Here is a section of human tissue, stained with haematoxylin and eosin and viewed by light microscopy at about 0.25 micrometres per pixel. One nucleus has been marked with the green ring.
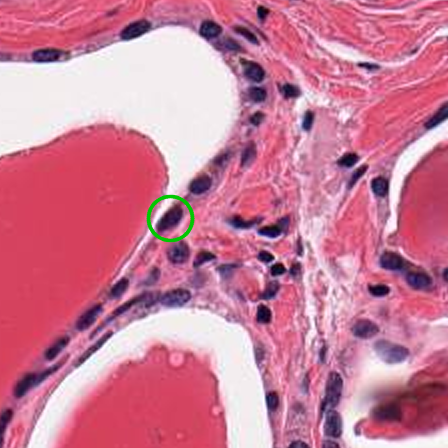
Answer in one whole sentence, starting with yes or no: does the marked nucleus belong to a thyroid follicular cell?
Yes, the marked nucleus is present within a thyroid follicular cell.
